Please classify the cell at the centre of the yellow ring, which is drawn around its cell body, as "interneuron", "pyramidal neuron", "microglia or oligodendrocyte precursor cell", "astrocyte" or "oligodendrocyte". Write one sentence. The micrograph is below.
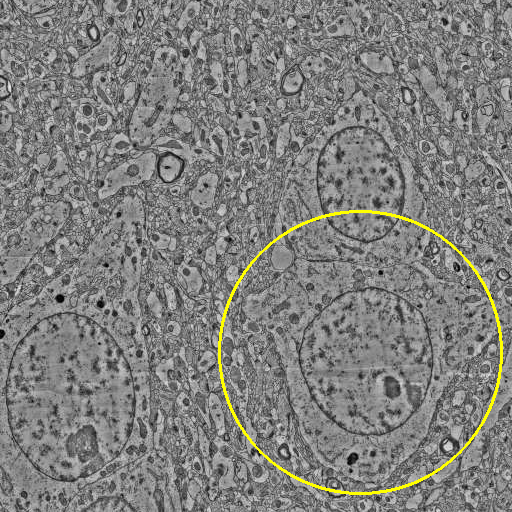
The cell at the ring's centre is classified as a pyramidal neuron.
